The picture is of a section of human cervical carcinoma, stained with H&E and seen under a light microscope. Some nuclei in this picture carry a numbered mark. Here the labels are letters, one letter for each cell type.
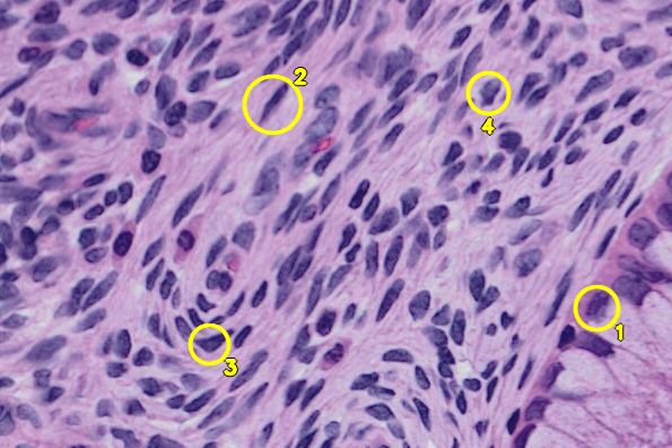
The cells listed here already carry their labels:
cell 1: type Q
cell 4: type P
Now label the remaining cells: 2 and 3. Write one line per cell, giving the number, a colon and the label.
2: type P
3: type P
